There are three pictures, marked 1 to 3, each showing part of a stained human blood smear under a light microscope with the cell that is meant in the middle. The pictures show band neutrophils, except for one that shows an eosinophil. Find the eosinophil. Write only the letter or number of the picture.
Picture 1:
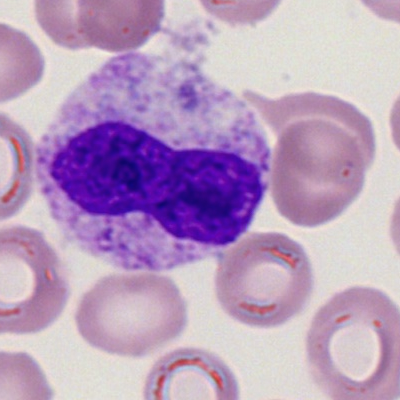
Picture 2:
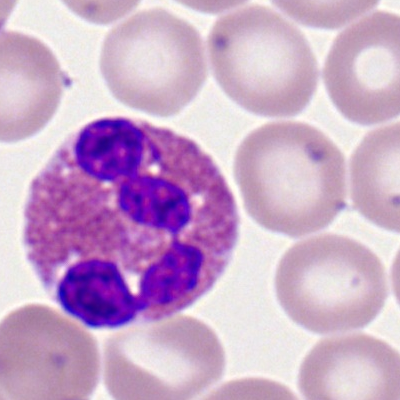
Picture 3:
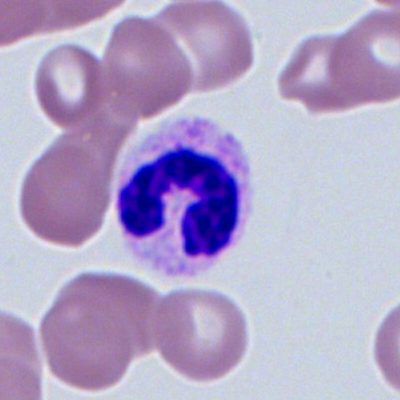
2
